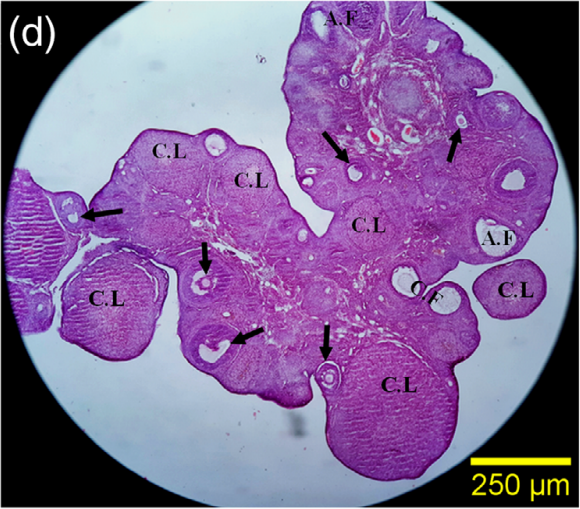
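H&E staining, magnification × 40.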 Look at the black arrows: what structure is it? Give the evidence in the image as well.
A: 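The oocytes are ringed by layered granulosa cells within the cortex. On this evidence: antral and preantral follicles.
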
